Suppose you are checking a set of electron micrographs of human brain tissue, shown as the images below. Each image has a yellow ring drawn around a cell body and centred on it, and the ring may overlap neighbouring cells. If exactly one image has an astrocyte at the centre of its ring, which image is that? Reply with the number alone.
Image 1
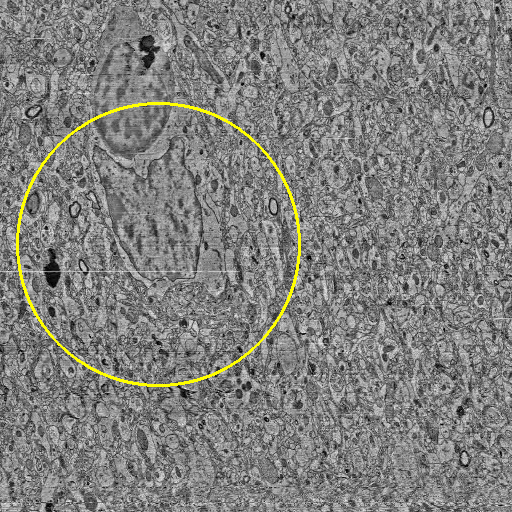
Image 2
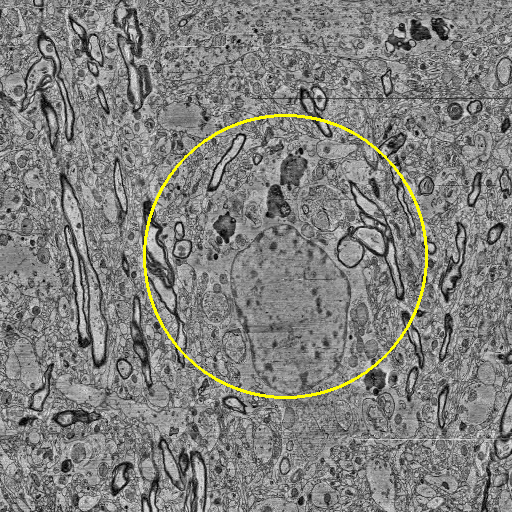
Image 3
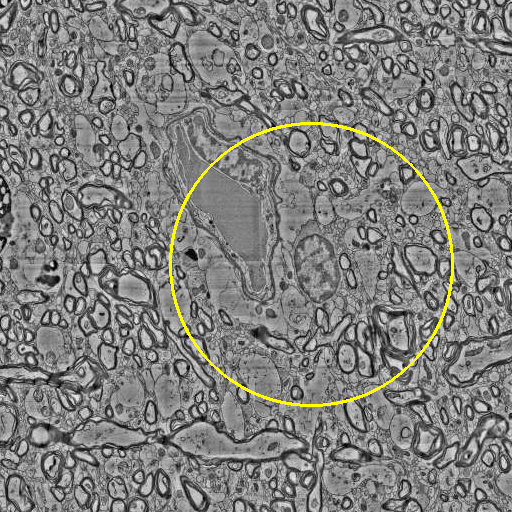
2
